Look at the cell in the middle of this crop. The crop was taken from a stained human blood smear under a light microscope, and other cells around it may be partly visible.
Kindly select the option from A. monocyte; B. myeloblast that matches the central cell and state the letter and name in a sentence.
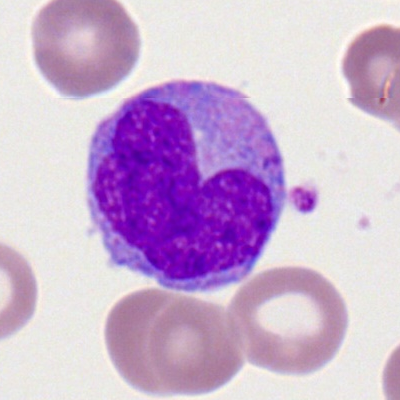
The correct identification, given in option A, is that the central cell is a monocyte.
